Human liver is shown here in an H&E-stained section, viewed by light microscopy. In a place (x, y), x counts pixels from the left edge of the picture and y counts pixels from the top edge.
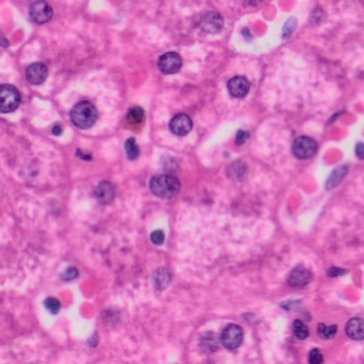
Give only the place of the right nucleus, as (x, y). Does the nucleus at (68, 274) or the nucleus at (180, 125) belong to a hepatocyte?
(180, 125)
